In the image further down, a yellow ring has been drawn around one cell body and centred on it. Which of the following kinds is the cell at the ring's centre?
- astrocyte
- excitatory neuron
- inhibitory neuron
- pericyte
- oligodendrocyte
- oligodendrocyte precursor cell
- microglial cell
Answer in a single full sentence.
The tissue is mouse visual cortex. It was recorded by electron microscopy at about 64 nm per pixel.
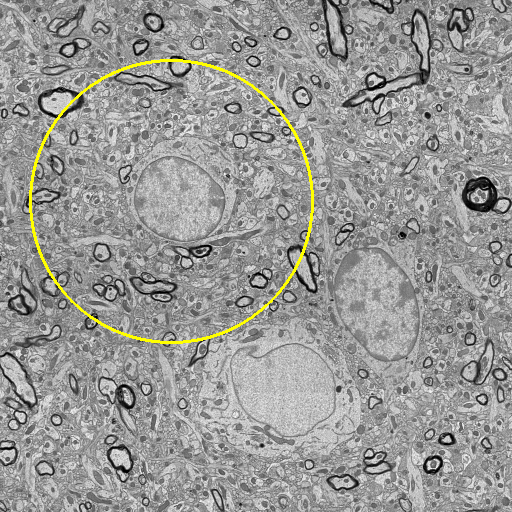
In the picture, the cell sitting at the centre of the yellow ring is an oligodendrocyte.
